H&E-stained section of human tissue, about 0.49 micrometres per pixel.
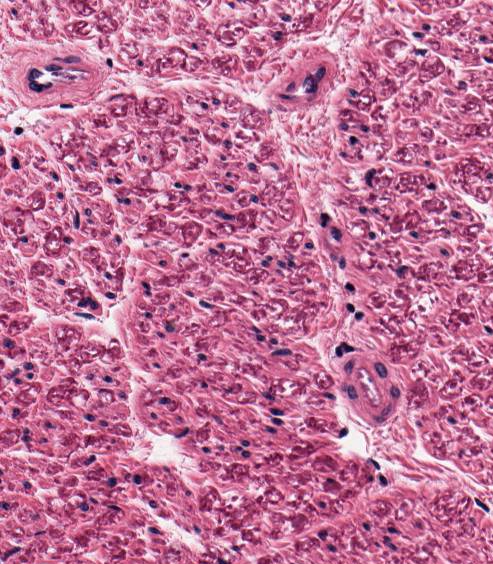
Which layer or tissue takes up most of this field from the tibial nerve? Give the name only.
nerve fascicle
